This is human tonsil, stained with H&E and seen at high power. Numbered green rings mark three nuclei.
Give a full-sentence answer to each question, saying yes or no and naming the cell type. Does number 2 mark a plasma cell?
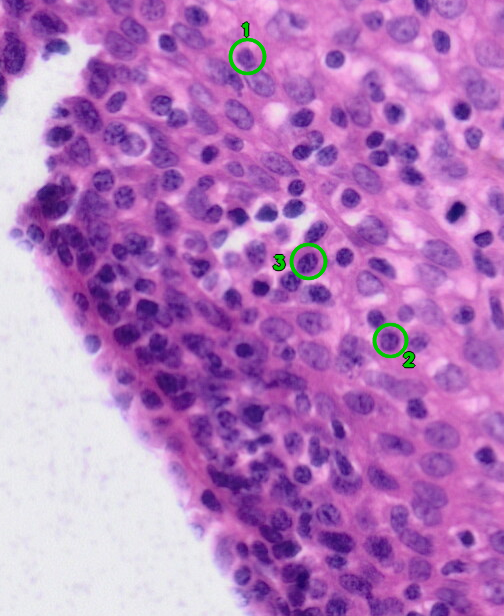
Yes, cell number 2 is classified as a plasma cell.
